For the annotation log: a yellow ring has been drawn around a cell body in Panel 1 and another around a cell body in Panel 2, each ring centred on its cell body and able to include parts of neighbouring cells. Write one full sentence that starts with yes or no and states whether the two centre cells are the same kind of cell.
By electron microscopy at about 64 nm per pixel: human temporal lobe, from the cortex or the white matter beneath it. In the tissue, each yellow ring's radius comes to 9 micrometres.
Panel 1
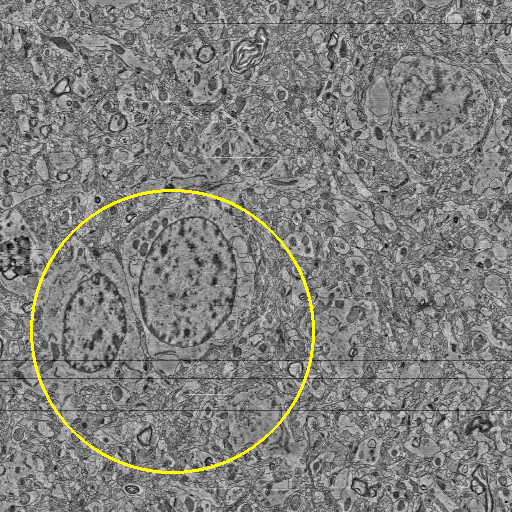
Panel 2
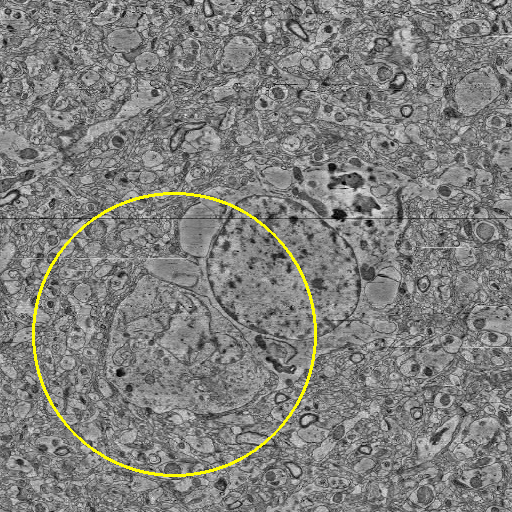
No, the two centre cells are two kinds of cell.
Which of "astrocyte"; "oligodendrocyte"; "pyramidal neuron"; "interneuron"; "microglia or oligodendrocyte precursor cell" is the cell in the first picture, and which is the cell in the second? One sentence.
The two differ: the first cell is an astrocyte and the second is an interneuron.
